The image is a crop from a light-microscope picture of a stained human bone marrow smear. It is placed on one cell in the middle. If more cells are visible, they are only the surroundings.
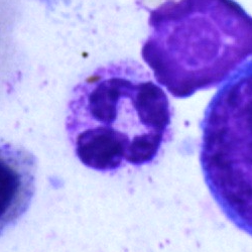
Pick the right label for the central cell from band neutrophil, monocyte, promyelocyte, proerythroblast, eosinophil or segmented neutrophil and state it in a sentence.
For this crop, the central cell is a segmented neutrophil.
